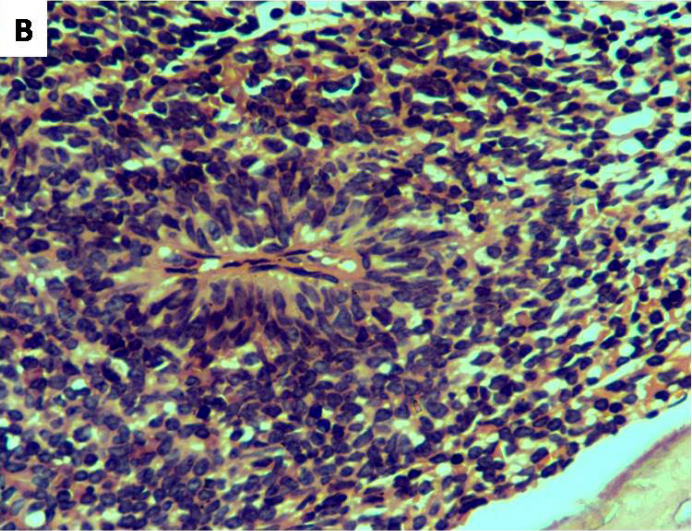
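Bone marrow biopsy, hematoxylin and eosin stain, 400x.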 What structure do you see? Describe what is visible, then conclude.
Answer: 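Pseudo-rosette formation. Elongated dark nuclei are arranged radially around a central point. Densely packed cells surround the radial arrangement.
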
